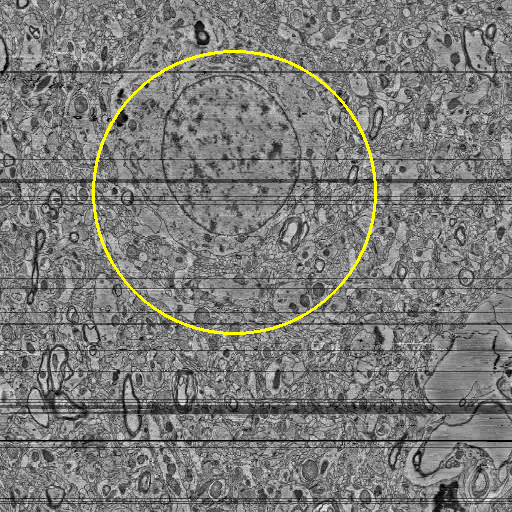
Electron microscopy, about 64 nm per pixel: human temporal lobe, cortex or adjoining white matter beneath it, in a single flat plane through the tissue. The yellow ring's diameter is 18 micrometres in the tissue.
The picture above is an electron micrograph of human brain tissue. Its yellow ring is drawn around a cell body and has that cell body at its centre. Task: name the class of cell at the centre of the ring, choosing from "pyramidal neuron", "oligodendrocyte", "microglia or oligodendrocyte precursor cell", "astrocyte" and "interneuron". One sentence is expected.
The ring surrounds the body of a pyramidal neuron.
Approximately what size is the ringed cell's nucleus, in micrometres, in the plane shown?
The nucleus is about 10 micrometres across in this plane.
